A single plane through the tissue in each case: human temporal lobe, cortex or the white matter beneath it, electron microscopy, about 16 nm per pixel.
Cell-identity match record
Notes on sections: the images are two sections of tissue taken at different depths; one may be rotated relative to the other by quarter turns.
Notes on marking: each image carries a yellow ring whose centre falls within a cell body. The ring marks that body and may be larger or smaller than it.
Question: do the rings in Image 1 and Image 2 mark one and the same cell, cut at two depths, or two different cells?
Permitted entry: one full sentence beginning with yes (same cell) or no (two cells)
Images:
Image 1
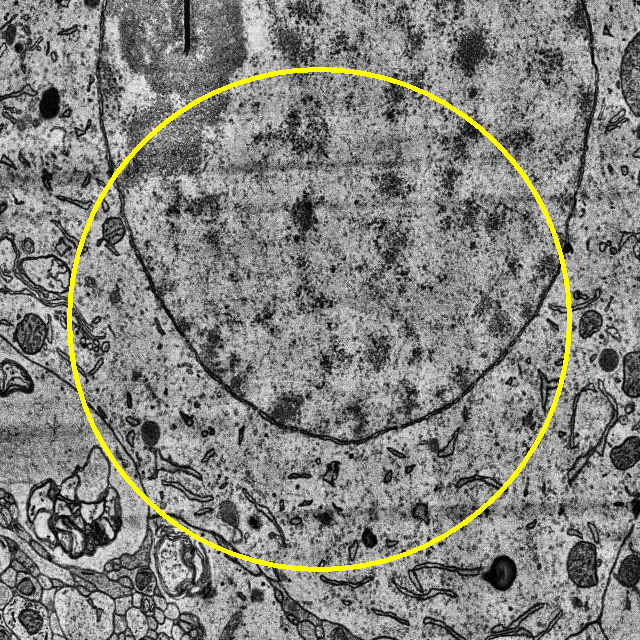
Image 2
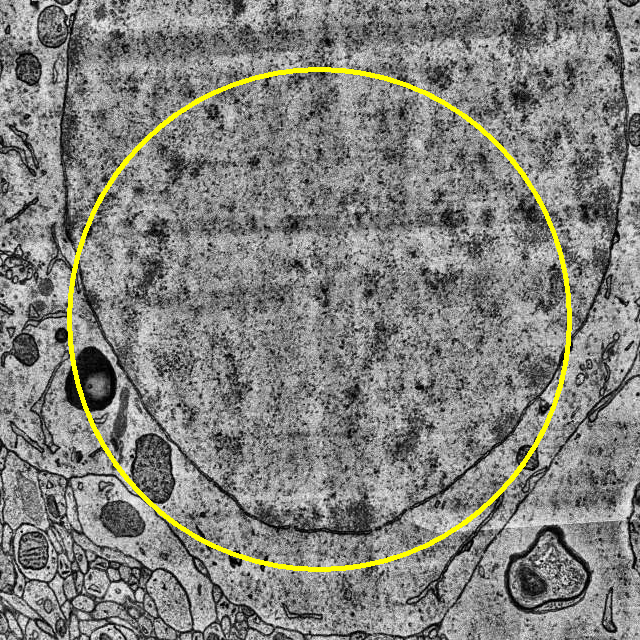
Yes, the two marked outlines come from one and the same cell.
